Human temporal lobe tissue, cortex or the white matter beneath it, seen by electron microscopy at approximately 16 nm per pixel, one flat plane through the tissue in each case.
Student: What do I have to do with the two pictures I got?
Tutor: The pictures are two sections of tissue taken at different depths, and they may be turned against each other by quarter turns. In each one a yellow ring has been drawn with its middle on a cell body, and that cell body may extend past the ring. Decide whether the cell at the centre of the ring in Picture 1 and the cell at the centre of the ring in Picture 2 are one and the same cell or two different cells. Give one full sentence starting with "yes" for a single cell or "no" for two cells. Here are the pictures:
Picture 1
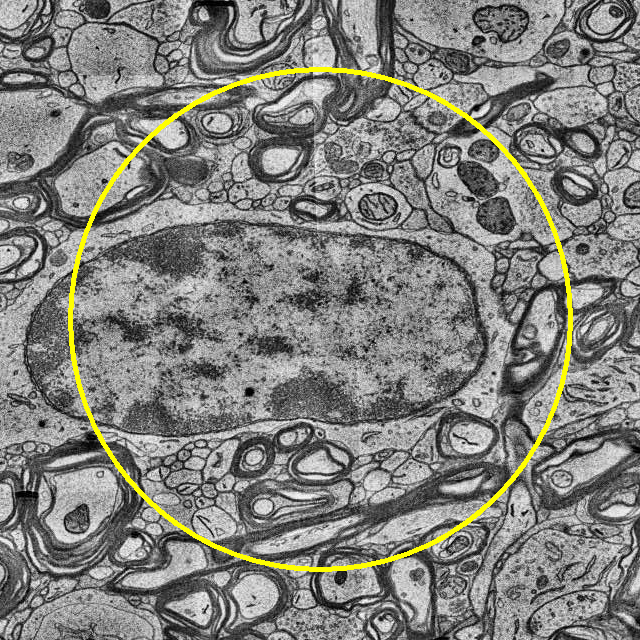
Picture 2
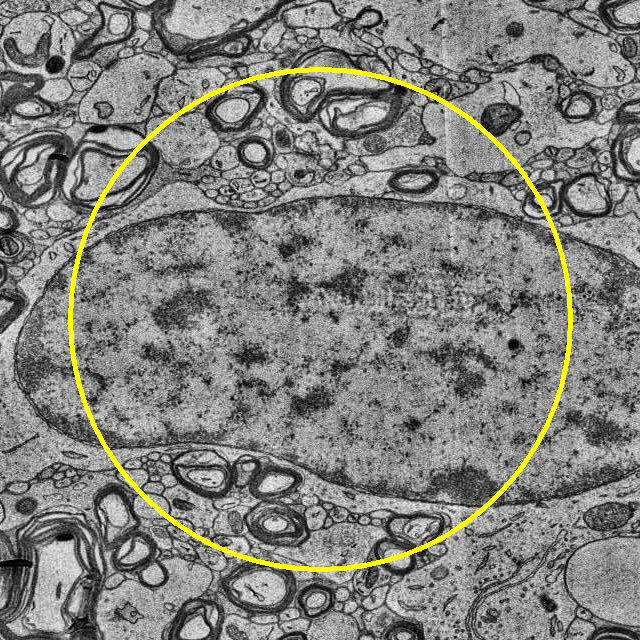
Yes, the same cell turns up inside each of the two rings.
